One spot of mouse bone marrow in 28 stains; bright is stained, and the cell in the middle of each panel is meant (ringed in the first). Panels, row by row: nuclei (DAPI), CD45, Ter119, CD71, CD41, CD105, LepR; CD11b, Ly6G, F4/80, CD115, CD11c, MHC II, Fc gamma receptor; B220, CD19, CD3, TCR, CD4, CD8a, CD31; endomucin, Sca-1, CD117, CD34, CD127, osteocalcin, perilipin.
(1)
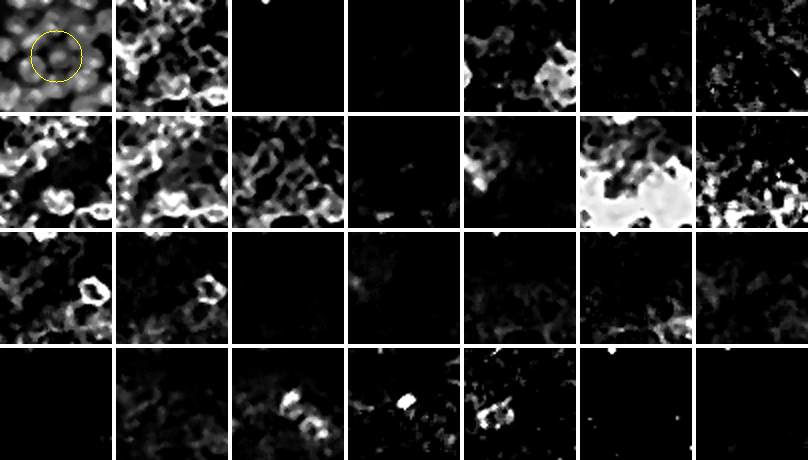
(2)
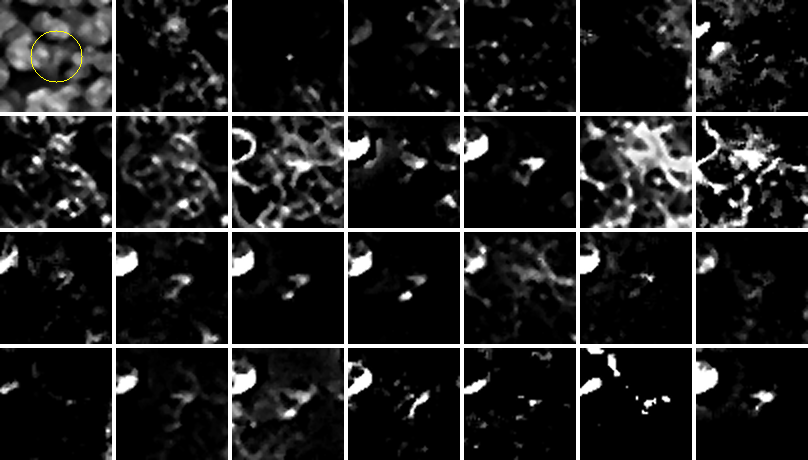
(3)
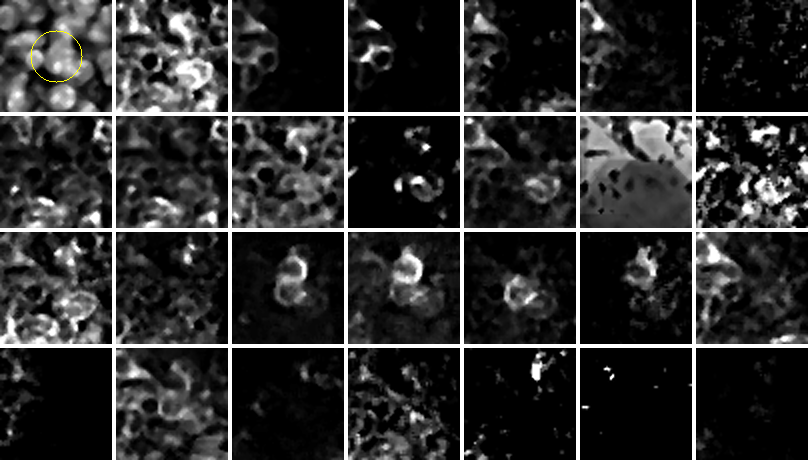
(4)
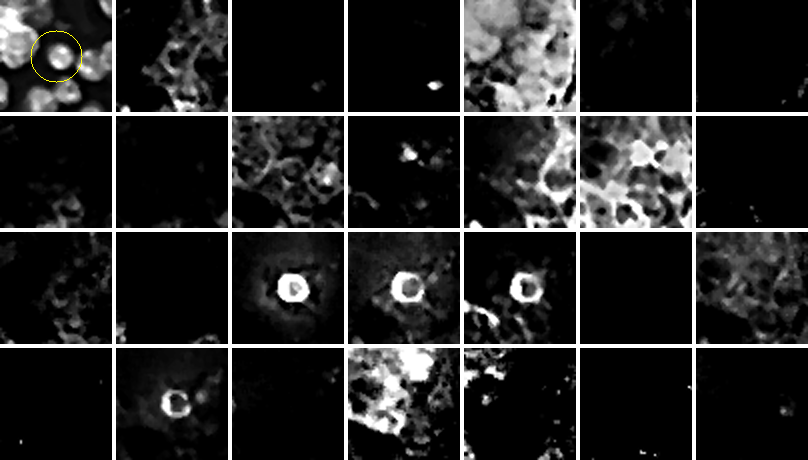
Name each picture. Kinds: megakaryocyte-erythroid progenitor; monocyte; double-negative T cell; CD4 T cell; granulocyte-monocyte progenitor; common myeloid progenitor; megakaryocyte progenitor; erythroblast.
Picture 1: common myeloid progenitor
Picture 2: granulocyte-monocyte progenitor
Picture 3: CD4 T cell
Picture 4: CD4 T cell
